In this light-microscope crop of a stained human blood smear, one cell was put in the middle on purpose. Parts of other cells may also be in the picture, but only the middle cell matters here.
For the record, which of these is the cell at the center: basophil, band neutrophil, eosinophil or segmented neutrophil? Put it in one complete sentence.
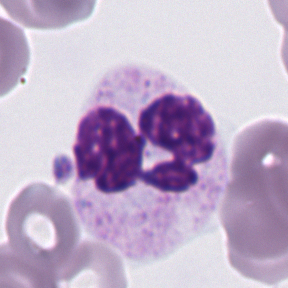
Centred in the crop is a segmented neutrophil.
